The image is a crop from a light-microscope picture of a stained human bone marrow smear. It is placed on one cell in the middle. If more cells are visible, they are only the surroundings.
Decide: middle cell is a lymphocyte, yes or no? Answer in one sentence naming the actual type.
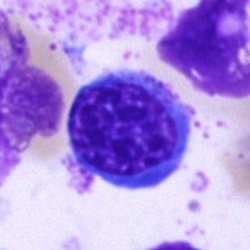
No, what lies at the heart of the crop is a normoblast, not a lymphocyte.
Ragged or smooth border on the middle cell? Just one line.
Its surface contour is regular and smooth, without any protrusions.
